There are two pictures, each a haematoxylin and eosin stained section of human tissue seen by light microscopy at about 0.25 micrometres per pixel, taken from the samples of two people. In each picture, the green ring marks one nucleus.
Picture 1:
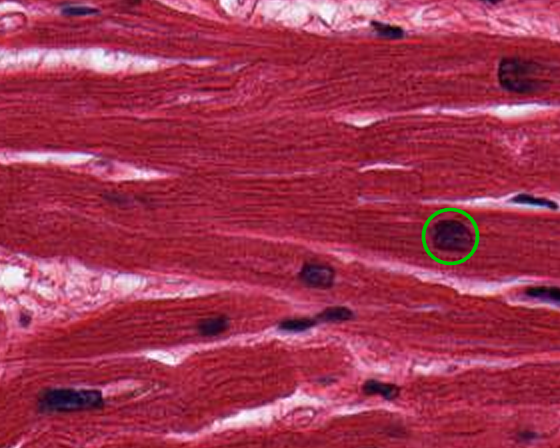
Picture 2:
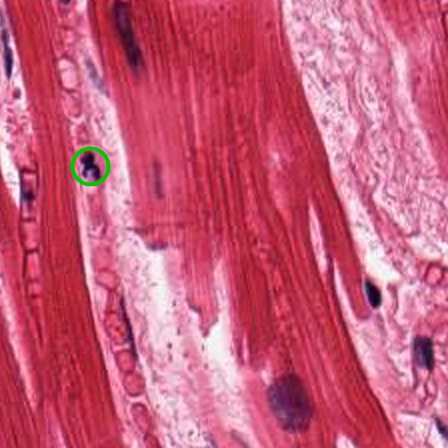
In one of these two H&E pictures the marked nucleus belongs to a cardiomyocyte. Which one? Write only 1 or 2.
1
